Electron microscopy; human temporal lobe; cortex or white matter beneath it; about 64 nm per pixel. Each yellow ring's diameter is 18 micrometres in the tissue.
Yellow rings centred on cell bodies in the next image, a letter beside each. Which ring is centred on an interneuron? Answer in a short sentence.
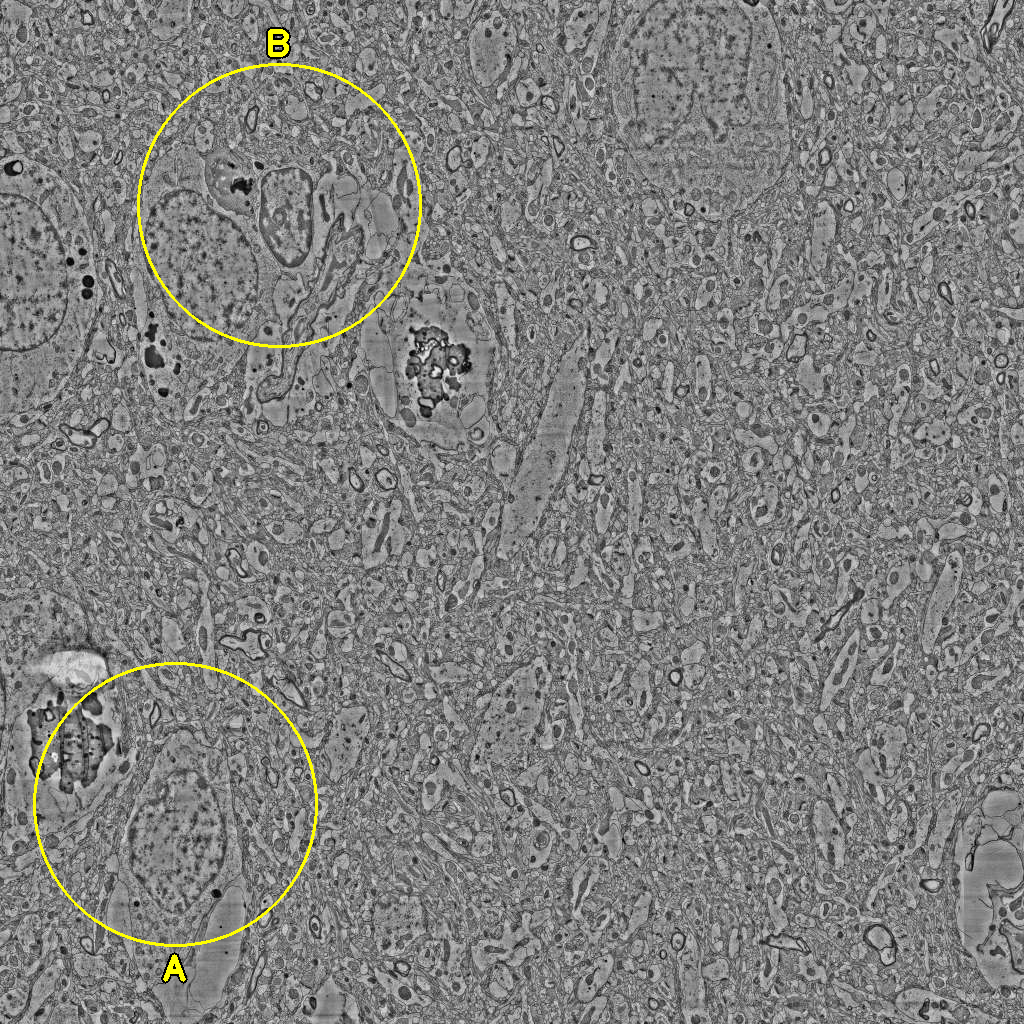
Ring A is centred on it.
